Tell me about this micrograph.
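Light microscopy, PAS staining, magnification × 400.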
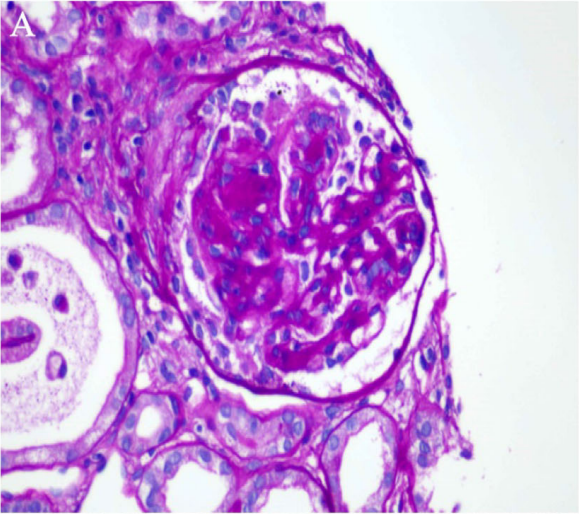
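This is kidney tissue with a glomerulus in which a cellular crescent has formed. The interstitium between the structures holds scattered nuclei.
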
